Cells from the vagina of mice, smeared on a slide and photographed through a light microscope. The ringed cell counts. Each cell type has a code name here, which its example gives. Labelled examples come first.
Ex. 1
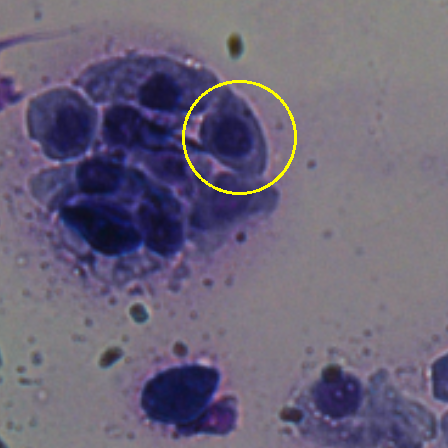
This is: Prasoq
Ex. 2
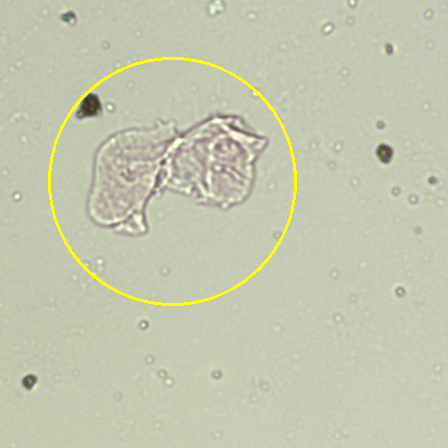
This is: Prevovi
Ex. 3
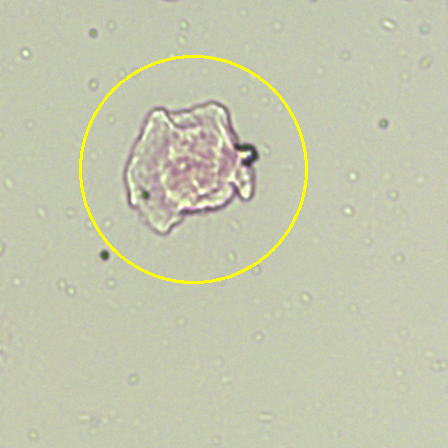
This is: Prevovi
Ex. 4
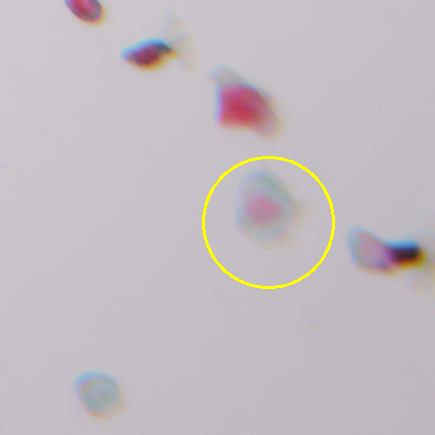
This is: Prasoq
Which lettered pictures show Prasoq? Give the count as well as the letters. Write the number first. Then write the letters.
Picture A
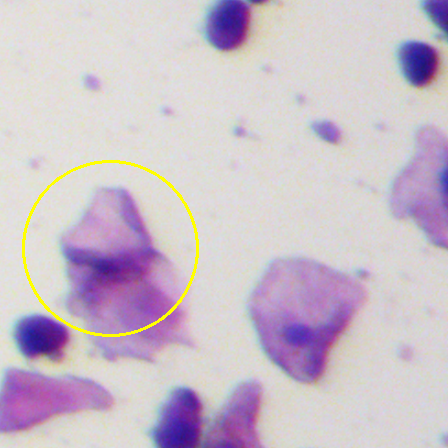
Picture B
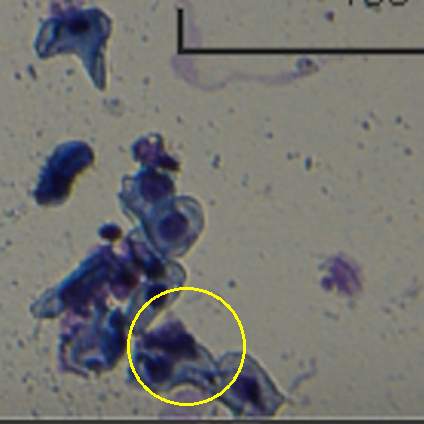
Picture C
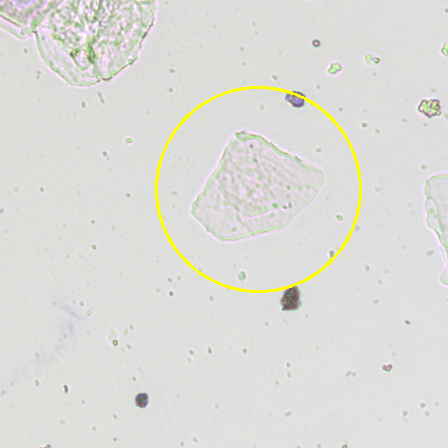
Count: 1 (B)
